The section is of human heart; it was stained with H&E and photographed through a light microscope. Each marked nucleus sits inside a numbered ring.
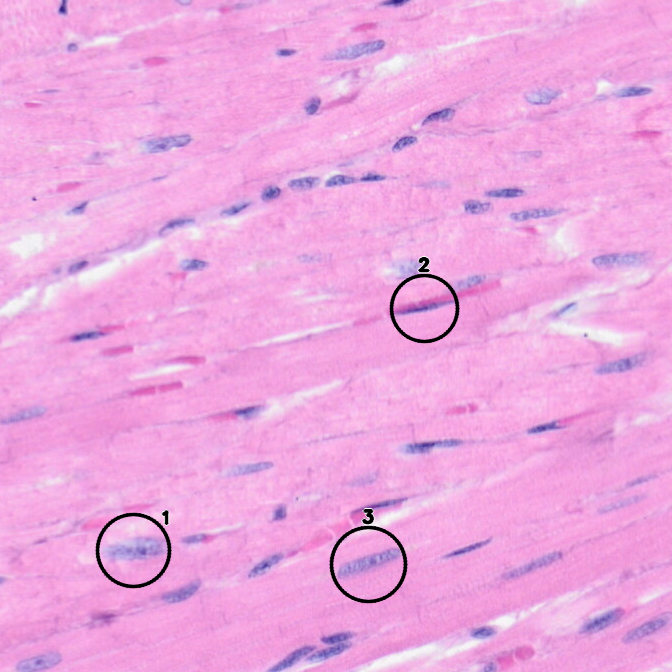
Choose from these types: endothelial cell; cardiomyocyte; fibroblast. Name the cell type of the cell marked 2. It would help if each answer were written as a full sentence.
To an endothelial cell belongs the nucleus marked 2.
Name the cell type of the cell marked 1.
The mark numbered 1 indicates the nucleus of a cardiomyocyte.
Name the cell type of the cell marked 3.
Cell 3 in the field is a cardiomyocyte.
